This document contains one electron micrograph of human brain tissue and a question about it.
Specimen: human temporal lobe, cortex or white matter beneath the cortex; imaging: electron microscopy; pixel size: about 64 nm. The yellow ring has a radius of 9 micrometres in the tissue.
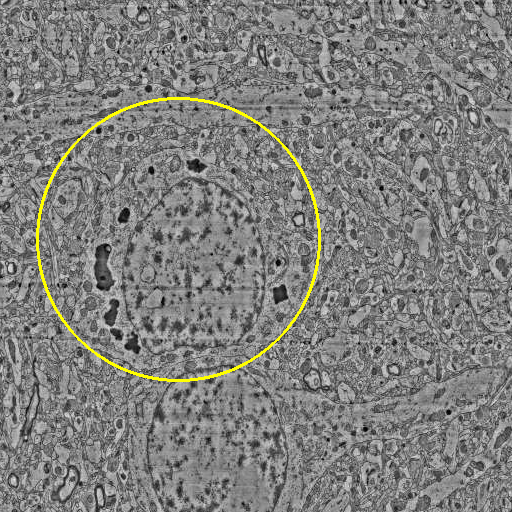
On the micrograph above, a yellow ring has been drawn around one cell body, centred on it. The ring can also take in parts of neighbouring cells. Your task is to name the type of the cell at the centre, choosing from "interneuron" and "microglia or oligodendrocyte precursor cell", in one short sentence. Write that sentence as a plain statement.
Here the ring is centred on an interneuron.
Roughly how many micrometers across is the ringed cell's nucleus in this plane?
The nucleus comes to roughly 10 micrometres across in this plane.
